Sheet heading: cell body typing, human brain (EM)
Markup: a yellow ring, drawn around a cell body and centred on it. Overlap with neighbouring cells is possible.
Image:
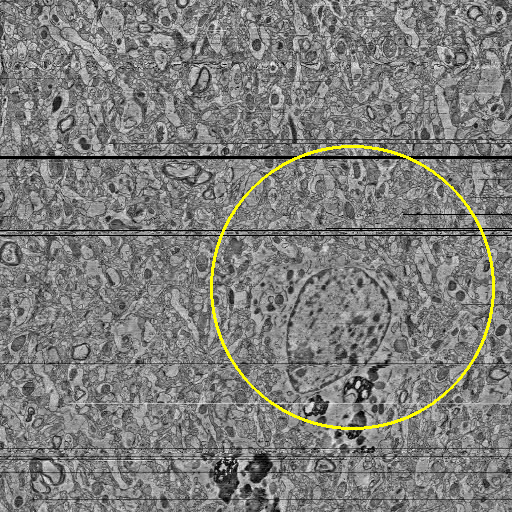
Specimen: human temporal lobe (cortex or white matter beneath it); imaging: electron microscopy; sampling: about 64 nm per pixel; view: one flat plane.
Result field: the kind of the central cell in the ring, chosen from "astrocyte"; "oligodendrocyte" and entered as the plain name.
astrocyte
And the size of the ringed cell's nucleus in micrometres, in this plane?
Roughly 8 by 6 micrometres is the size of the nucleus in this plane.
